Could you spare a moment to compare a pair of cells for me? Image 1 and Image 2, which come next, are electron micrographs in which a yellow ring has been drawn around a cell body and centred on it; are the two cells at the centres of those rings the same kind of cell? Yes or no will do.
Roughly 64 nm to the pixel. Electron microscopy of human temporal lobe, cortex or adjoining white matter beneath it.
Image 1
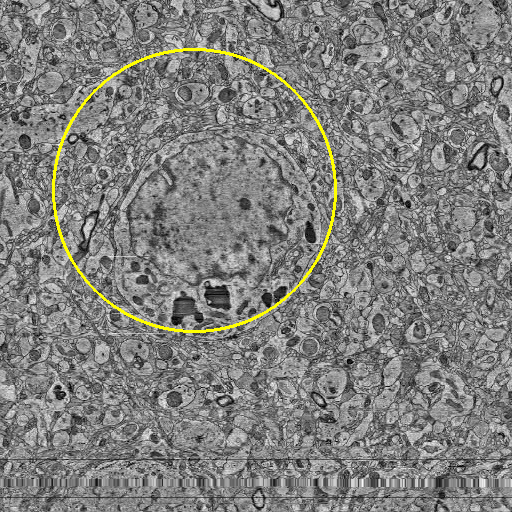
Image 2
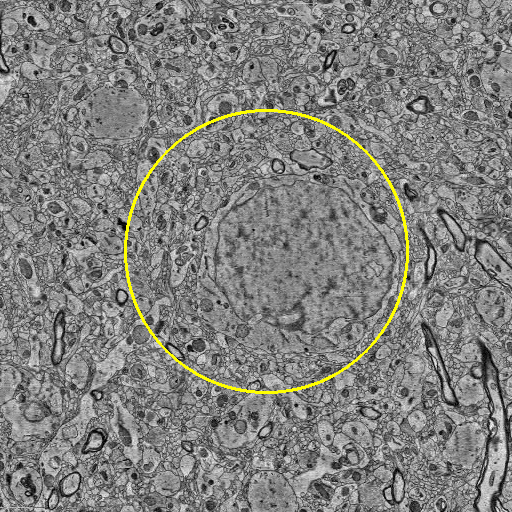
yes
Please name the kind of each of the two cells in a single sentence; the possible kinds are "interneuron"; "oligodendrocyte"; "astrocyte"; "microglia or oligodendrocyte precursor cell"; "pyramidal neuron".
The cell at the ring centre is an interneuron in both pictures.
